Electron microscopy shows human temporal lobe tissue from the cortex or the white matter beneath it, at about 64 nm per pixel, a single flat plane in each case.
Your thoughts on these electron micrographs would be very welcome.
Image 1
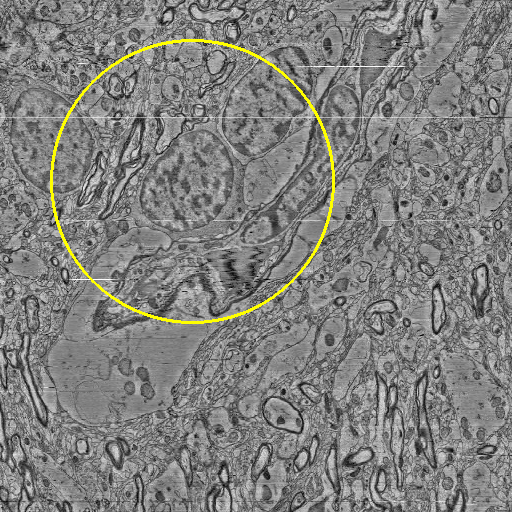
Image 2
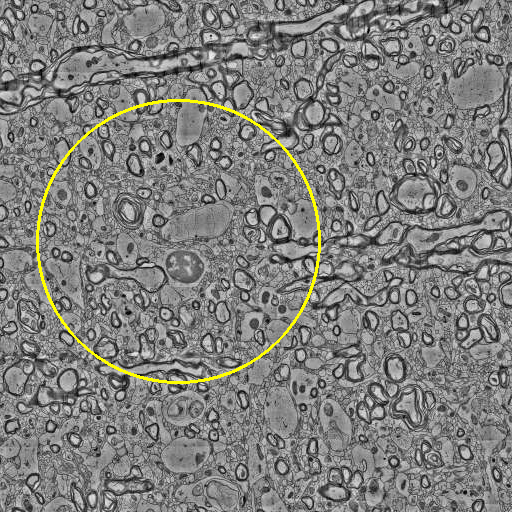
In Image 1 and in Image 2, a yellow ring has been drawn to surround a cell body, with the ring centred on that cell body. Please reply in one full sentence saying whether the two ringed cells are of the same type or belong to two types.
The ringed cells in Image 1 and Image 2 belong to two types.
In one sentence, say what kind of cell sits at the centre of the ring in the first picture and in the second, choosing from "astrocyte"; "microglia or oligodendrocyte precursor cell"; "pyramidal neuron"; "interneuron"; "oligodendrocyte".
The first picture's ringed cell is an oligodendrocyte, while the second picture's is a microglial cell or oligodendrocyte precursor cell.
